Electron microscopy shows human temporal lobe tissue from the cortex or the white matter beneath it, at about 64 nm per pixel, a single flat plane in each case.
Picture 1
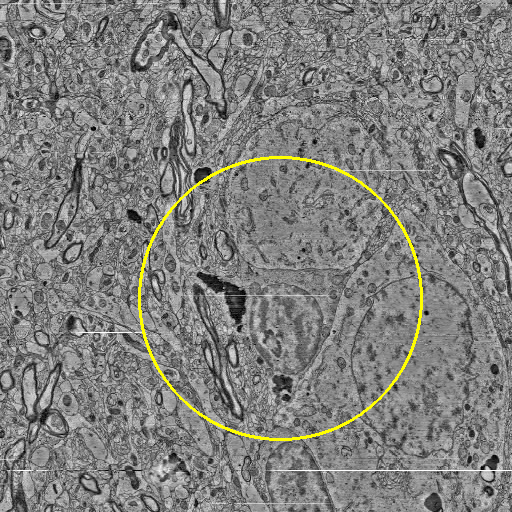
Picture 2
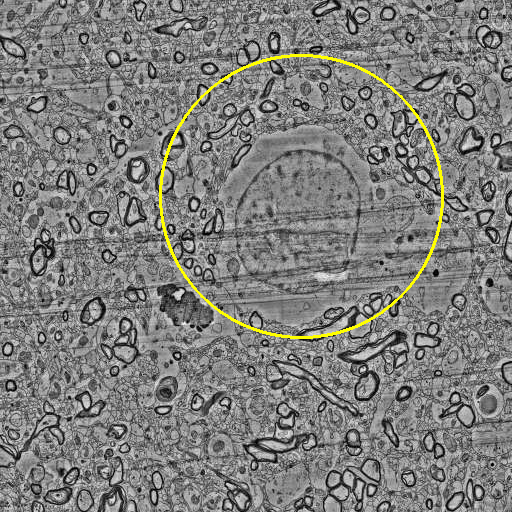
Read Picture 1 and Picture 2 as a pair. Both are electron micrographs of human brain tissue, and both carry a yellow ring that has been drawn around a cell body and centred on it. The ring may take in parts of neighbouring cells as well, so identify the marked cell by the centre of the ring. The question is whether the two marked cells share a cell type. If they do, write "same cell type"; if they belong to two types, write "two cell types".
two cell types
